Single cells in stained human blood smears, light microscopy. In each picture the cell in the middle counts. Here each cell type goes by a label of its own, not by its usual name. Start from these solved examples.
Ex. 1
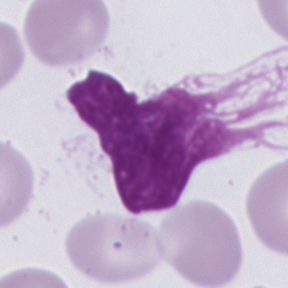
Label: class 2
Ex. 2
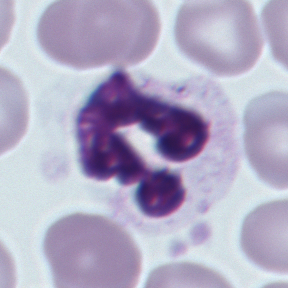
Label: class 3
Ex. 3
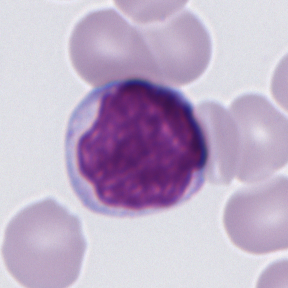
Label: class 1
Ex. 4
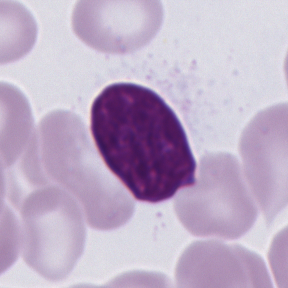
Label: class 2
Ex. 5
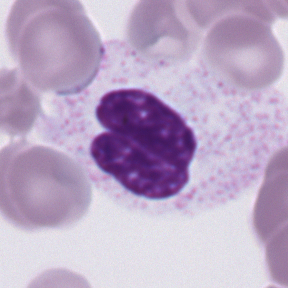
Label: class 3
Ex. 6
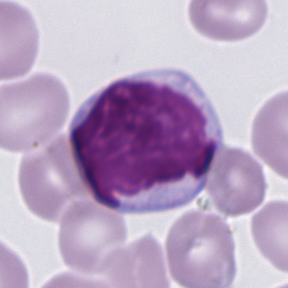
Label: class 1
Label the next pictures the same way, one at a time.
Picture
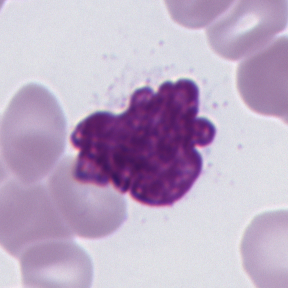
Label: class 2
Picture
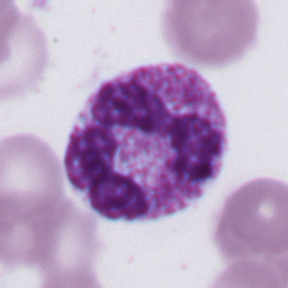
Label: class 3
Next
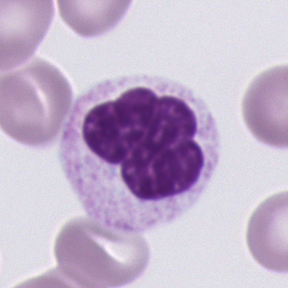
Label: class 3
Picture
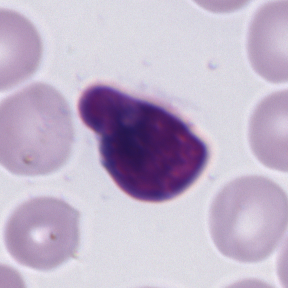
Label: class 2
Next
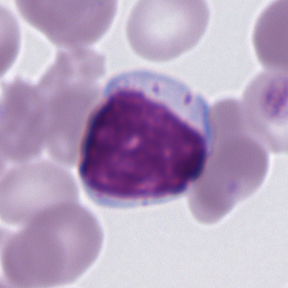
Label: class 1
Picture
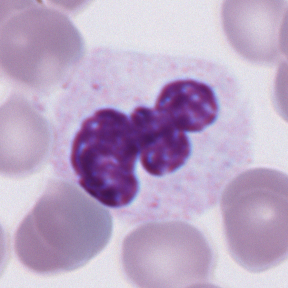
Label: class 3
